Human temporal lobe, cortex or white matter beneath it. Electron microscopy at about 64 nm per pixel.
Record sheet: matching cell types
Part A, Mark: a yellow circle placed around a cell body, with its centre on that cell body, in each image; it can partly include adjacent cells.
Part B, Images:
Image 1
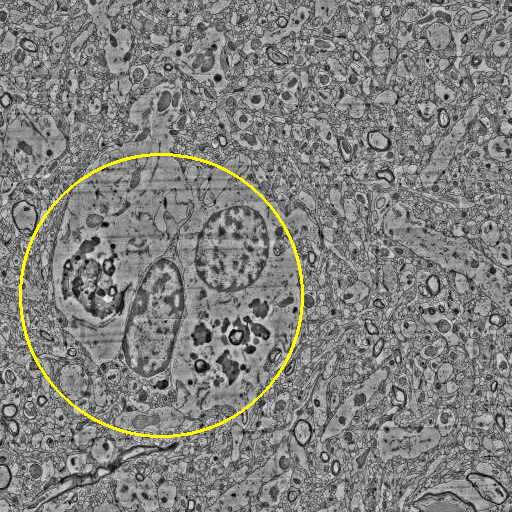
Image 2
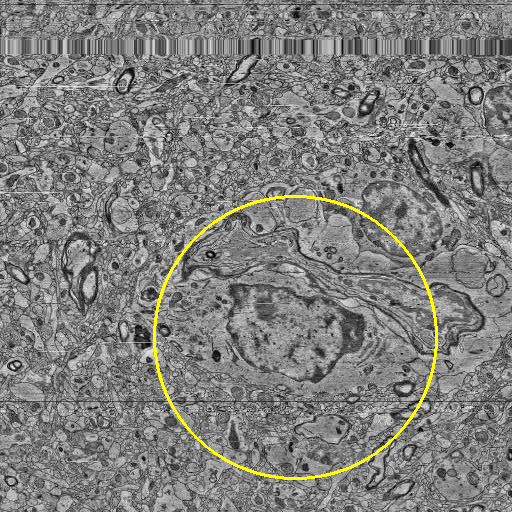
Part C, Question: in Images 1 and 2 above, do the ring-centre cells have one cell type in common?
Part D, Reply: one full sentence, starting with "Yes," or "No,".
Yes, the ring-centre cells of Image 1 and Image 2 are both of a single cell type.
